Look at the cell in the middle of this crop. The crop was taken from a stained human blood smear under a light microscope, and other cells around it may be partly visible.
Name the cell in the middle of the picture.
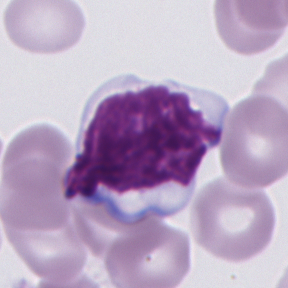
large granular lymphocyte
